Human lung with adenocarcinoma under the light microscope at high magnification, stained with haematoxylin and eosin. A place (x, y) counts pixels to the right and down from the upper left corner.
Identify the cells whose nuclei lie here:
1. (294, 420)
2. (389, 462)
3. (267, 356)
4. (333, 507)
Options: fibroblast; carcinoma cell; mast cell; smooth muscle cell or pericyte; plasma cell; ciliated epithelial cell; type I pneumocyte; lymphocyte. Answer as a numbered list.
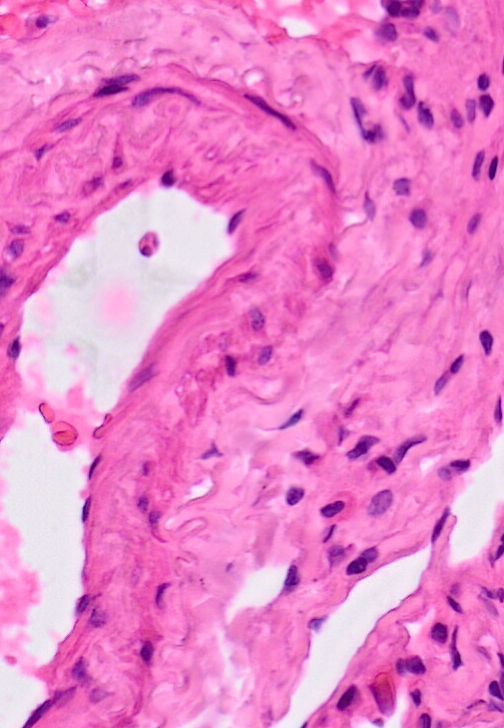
1. fibroblast
2. plasma cell
3. smooth muscle cell or pericyte
4. mast cell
